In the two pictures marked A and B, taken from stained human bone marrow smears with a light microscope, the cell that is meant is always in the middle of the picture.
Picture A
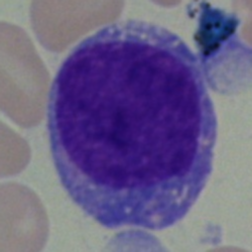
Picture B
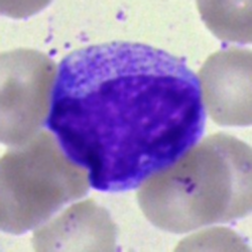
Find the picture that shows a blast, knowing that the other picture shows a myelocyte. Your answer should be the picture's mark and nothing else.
A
